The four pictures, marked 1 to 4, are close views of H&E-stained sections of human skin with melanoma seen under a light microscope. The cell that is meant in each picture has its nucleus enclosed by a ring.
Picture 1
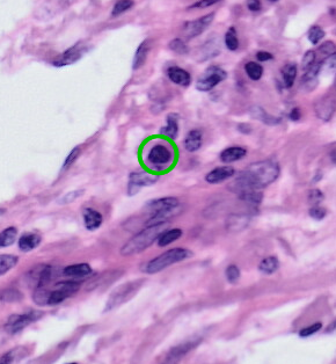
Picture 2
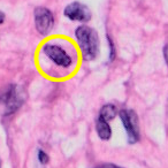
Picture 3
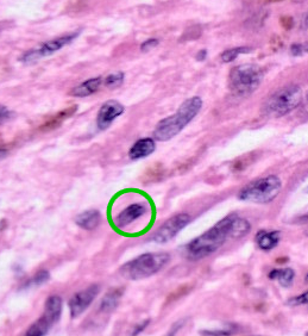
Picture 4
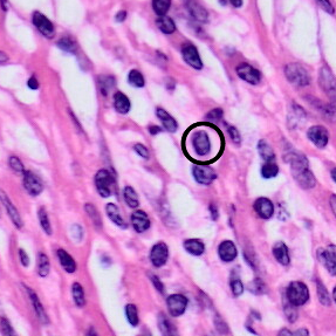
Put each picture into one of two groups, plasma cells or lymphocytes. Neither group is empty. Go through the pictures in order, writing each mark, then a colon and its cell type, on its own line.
1: plasma cell
2: lymphocyte
3: lymphocyte
4: lymphocyte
